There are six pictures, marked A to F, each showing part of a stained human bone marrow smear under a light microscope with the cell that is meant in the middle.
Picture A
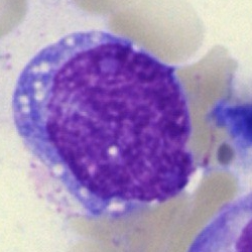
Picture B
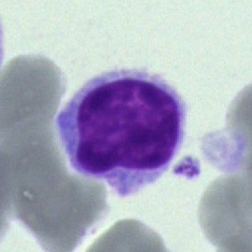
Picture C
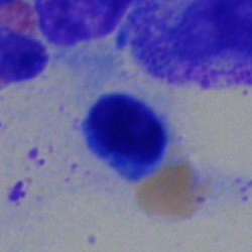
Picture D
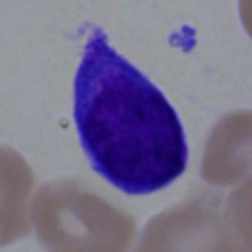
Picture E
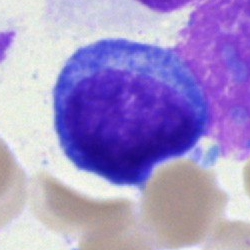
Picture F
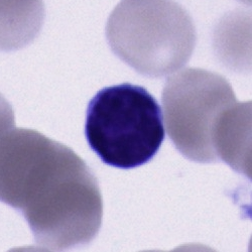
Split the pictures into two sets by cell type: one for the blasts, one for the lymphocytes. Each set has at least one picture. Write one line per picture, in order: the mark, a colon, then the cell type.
A: blast
B: lymphocyte
C: lymphocyte
D: blast
E: blast
F: lymphocyte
